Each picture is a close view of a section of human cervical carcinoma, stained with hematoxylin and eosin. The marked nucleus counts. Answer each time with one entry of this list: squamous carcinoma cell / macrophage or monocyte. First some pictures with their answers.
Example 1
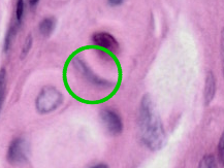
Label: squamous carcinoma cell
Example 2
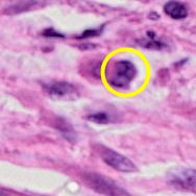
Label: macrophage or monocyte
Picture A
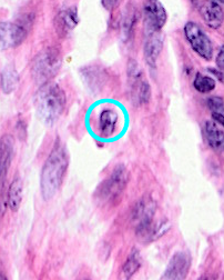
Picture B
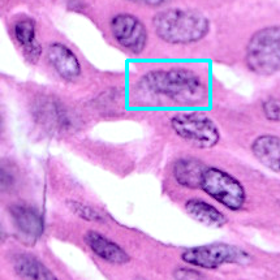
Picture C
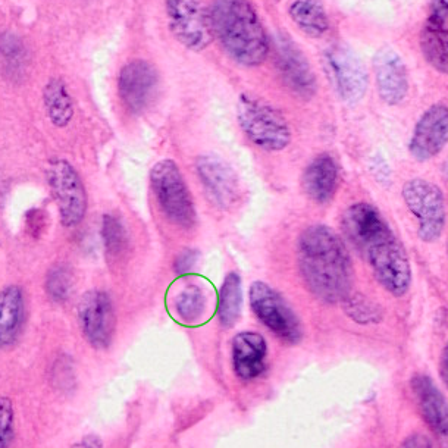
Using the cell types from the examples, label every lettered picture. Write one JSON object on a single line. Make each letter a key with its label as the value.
{"A": "macrophage or monocyte", "B": "squamous carcinoma cell", "C": "squamous carcinoma cell"}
